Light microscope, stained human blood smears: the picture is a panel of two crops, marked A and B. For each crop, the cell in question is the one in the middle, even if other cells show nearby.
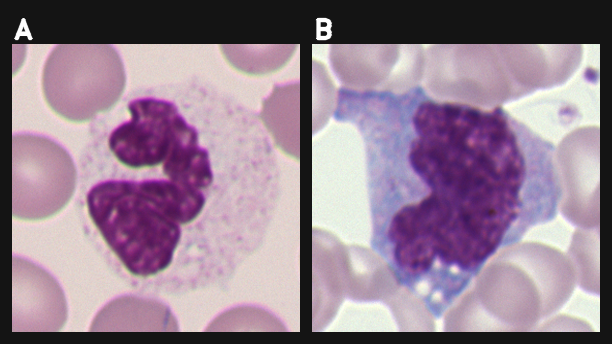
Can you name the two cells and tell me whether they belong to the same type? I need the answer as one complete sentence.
No, crop A presents a segmented neutrophil, whereas crop B presents a monocyte.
